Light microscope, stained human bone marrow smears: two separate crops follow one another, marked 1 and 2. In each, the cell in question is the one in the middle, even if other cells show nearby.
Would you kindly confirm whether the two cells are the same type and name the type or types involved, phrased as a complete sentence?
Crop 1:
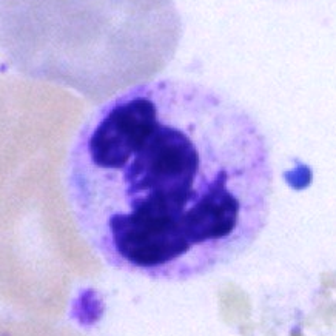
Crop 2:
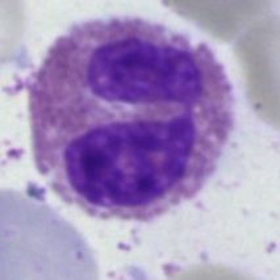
No, crop 1 and crop 2 show a segmented neutrophil and an eosinophil respectively.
